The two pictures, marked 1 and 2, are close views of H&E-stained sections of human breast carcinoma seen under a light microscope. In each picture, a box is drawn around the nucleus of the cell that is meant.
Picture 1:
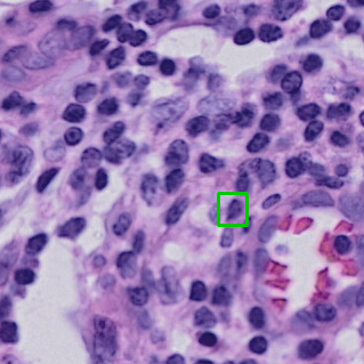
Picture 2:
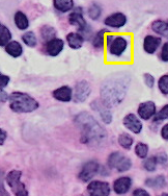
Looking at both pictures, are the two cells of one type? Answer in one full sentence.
Yes, they are the same type: both are lymphocytes.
